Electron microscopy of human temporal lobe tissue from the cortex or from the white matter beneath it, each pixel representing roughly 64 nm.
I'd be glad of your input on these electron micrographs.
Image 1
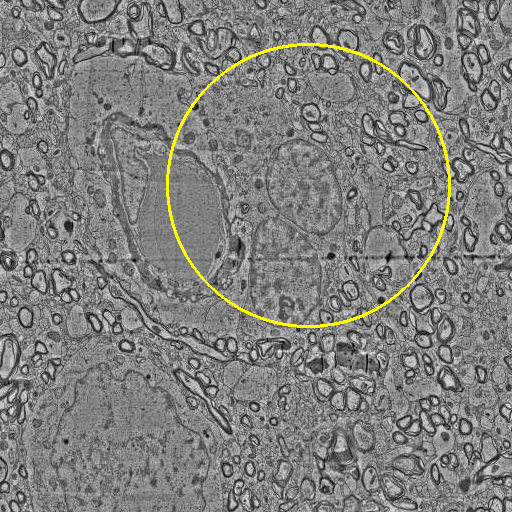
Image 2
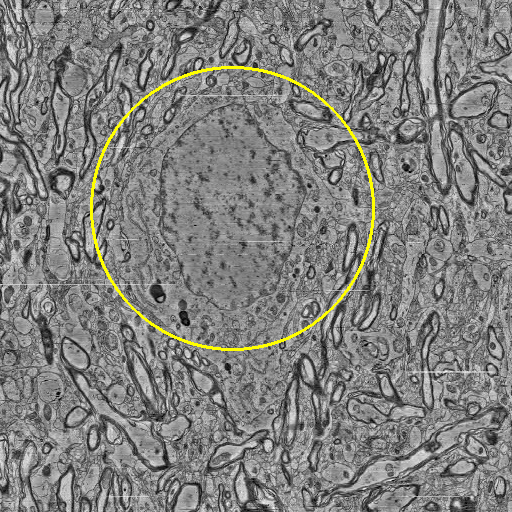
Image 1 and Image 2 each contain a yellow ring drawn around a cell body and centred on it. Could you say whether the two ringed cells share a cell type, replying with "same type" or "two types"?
two types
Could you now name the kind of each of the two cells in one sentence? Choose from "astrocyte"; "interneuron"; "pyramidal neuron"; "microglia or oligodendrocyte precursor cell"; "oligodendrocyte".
The first ring encloses an oligodendrocyte; the second ring encloses an interneuron.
